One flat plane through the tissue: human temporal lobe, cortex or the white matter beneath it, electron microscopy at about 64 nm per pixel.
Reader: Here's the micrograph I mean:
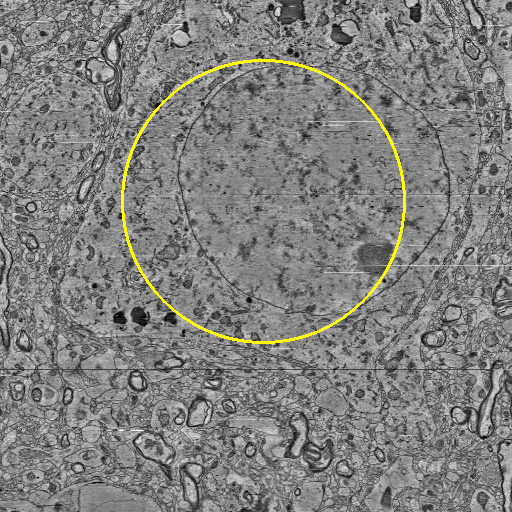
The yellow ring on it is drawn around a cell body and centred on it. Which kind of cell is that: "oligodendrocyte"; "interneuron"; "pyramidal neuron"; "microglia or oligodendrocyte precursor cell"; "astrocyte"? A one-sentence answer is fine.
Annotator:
The ring is centred on a pyramidal neuron.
